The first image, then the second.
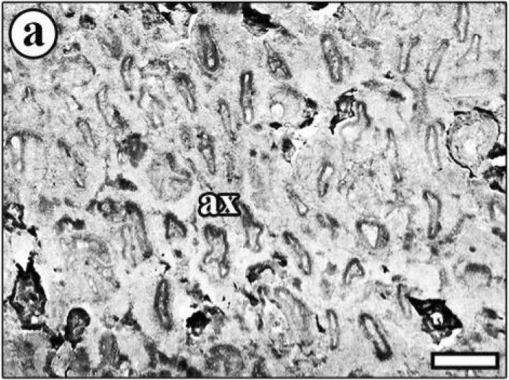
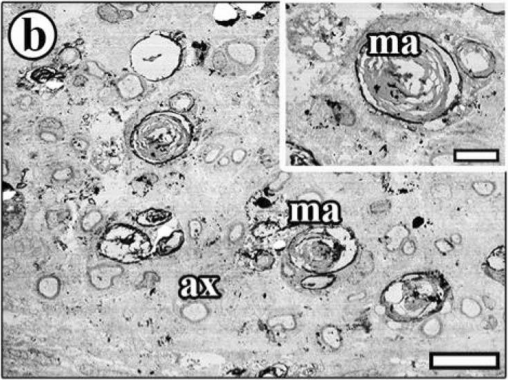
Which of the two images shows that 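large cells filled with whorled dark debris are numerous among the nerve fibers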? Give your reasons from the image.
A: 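The second image. Second image: several large rounded cells containing dark, whorled membranous material lie among the fibers. First image: spaced-out fiber profiles with no clear large debris-filled cells.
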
